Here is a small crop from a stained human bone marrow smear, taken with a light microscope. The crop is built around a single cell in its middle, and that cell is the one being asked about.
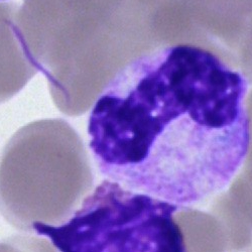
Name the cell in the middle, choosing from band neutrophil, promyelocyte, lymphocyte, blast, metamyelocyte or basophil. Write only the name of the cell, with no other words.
band neutrophil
